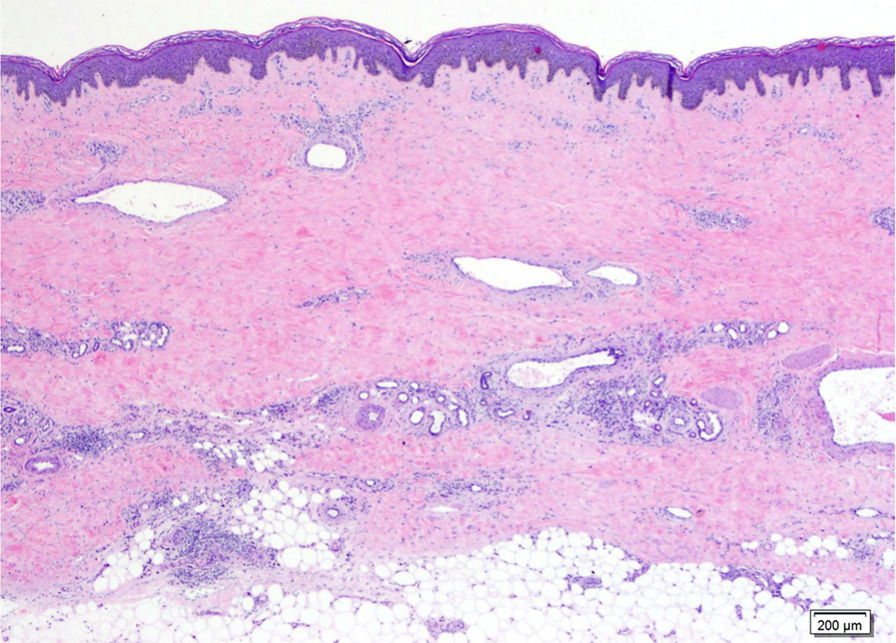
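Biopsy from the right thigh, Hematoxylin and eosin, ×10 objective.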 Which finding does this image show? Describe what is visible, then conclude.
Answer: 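The dermis from just below the epidermis down to the fat is filled with dense, homogeneous pink collagen. Collagen bundles are thick and closely packed, with few spaces between them. The dermis is broad relative to the epidermis. So: pan-dermal sclerosis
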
